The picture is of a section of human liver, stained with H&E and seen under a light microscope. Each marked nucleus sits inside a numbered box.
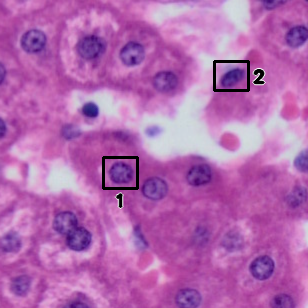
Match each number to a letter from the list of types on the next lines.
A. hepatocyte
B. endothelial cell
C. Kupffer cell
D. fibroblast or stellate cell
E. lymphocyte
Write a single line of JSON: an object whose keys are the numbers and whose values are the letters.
{"1": "A", "2": "D"}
